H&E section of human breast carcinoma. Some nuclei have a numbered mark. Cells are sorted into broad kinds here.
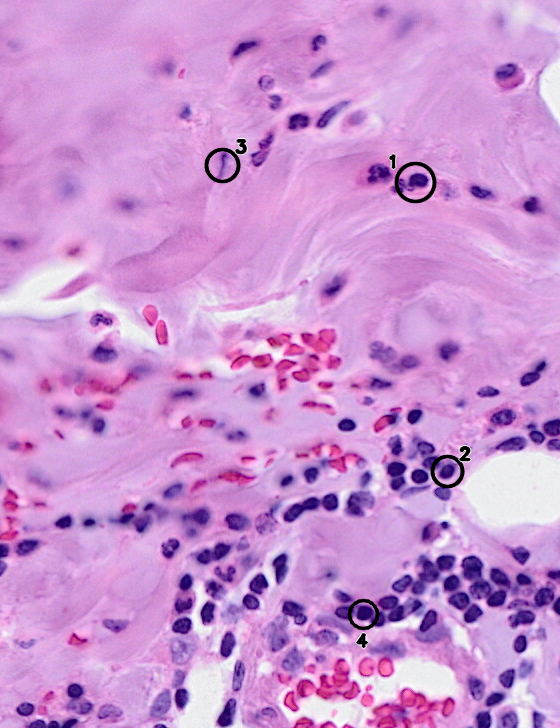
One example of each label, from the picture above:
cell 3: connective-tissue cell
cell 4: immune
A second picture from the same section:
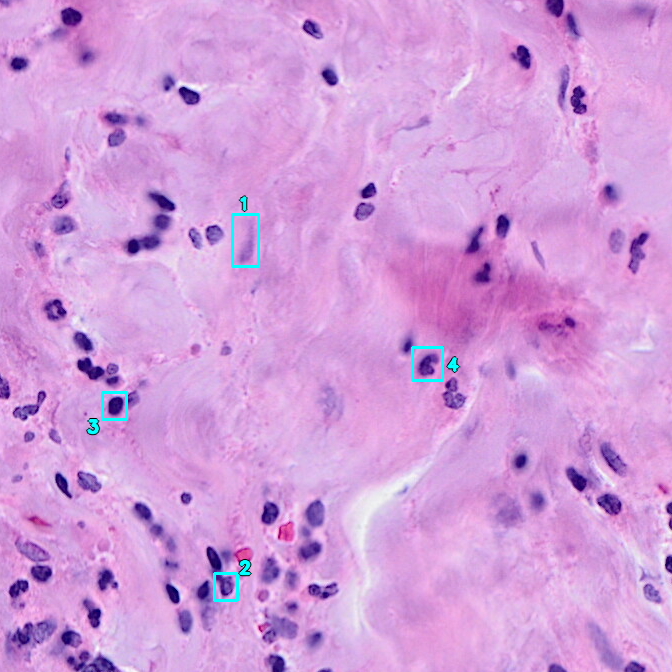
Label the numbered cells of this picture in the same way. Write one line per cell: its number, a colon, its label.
1: connective-tissue cell
2: immune
3: immune
4: immune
